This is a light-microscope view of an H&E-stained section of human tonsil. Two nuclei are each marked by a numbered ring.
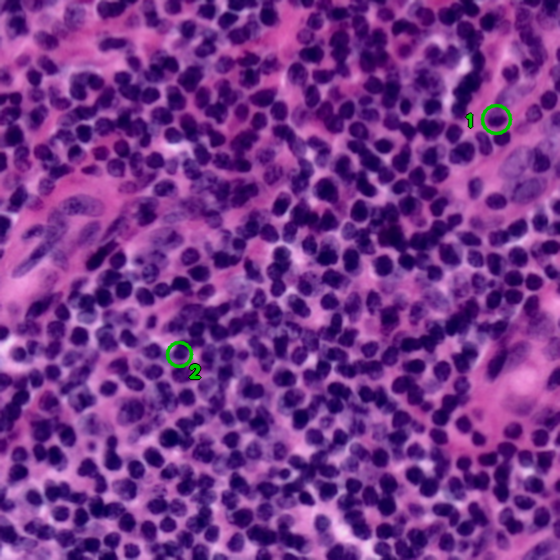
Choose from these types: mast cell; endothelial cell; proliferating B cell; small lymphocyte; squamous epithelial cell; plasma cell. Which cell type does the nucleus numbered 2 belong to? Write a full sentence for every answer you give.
The numbered cell 2 in this field is a small lymphocyte.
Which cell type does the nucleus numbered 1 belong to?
Cell 1 of the marked set is an endothelial cell.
